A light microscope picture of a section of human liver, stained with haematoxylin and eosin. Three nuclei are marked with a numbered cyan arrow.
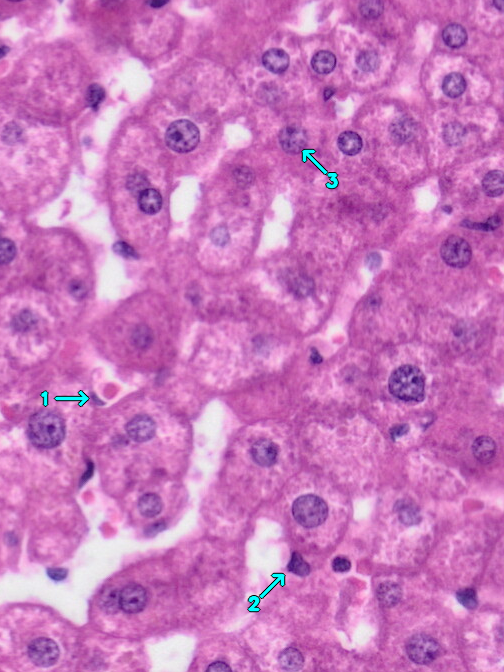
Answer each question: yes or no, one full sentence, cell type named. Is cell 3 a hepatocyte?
Yes, the cell sitting at number 3 is a hepatocyte.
